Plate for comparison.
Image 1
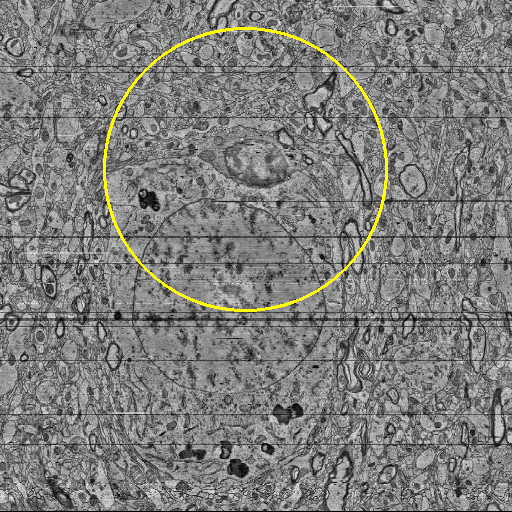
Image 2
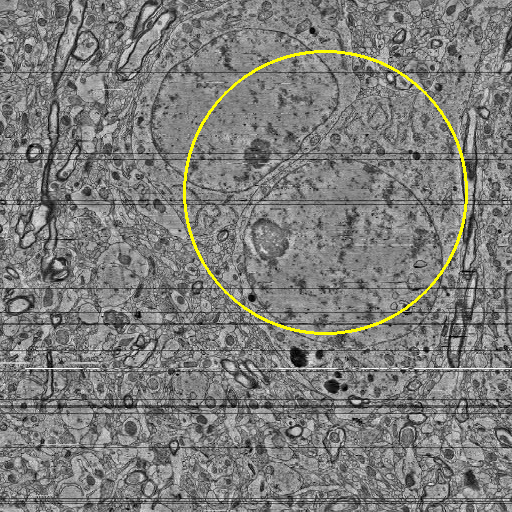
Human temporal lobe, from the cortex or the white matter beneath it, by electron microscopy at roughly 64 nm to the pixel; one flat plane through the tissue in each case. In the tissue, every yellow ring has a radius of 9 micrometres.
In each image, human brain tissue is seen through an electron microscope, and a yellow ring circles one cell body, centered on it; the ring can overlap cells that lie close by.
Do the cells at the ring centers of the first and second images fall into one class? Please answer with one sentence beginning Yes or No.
No, the first and second images show two classes of cell at the ring centers.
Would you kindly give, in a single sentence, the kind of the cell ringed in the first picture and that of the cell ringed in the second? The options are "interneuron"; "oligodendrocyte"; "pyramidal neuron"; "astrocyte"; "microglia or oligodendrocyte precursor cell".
The second cell is a pyramidal neuron, and the first cell is an oligodendrocyte.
